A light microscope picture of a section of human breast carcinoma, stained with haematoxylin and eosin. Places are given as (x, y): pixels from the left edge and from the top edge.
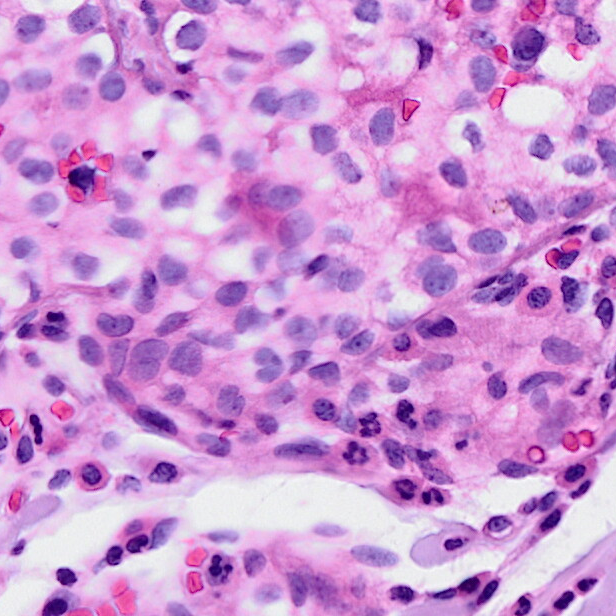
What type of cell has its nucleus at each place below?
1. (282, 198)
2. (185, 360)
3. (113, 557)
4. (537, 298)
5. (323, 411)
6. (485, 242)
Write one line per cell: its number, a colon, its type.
1: carcinoma cell
2: carcinoma cell
3: lymphocyte
4: mast cell
5: mast cell
6: carcinoma cell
